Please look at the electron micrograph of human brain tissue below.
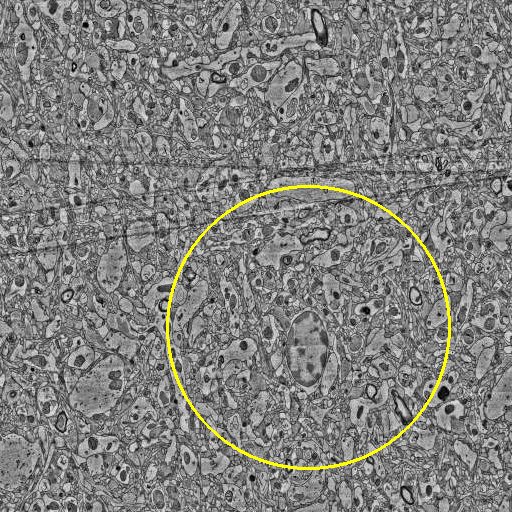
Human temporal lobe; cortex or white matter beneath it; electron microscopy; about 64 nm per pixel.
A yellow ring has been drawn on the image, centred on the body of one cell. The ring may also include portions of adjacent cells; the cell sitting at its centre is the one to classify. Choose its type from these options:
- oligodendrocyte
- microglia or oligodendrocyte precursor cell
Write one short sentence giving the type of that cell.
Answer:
The cell in the middle of the ring is a microglial cell or oligodendrocyte precursor cell.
